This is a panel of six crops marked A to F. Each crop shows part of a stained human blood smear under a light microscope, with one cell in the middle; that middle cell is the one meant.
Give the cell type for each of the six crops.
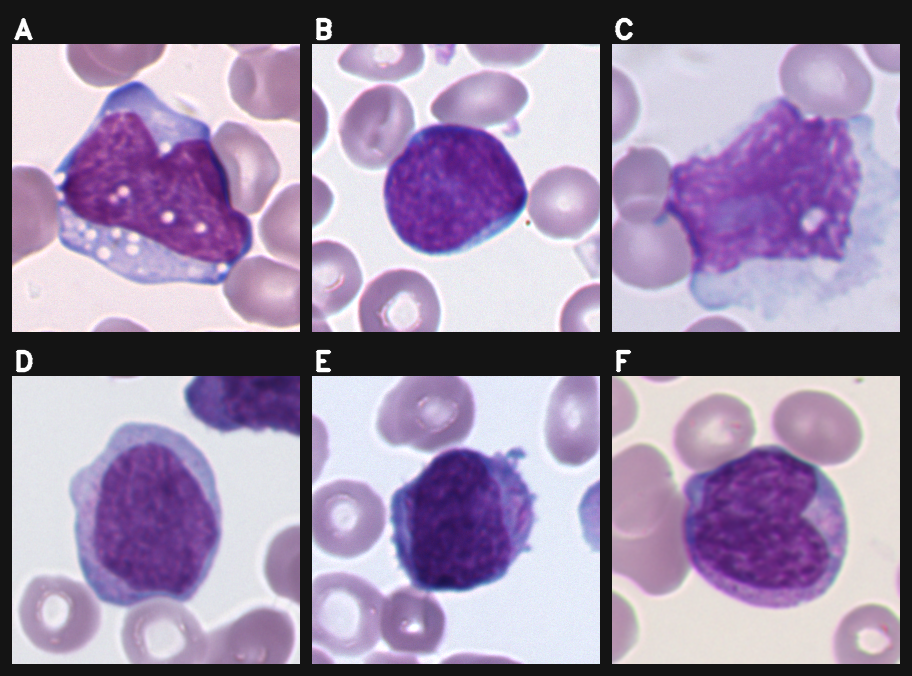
A: myeloblast
B: myeloblast
C: myeloblast
D: atypical promyelocyte
E: atypical promyelocyte
F: atypical promyelocyte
